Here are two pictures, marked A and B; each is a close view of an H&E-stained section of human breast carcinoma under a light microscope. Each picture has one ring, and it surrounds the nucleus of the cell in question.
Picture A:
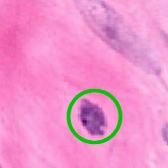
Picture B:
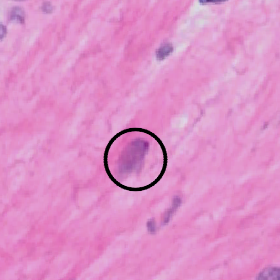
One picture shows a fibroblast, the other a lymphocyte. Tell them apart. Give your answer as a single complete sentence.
The cell in picture A is a lymphocyte, and the one in picture B is a fibroblast.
